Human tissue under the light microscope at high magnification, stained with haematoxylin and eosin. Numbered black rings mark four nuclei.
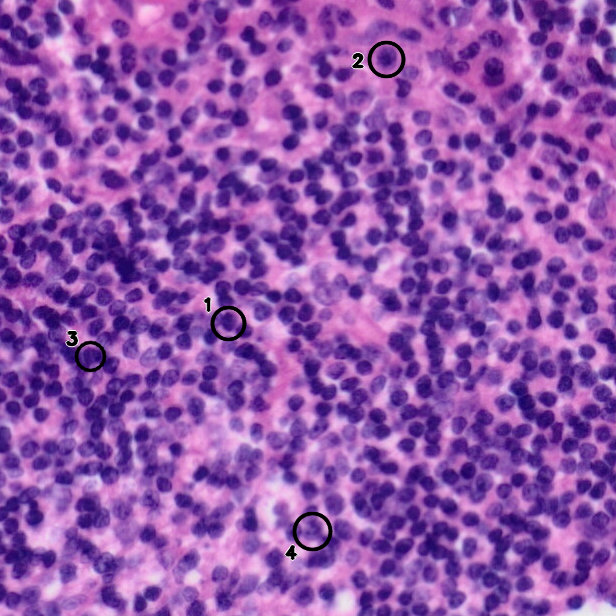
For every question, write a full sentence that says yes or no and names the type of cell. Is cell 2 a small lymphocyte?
No, it is not a small lymphocyte that bears number 2 but a plasma cell.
